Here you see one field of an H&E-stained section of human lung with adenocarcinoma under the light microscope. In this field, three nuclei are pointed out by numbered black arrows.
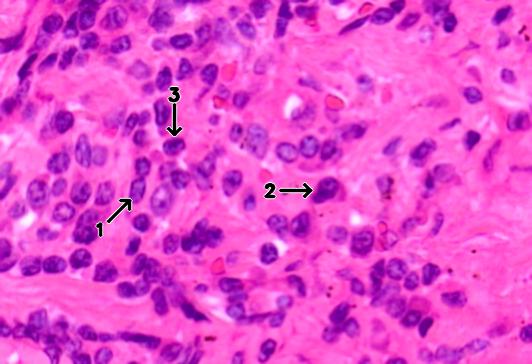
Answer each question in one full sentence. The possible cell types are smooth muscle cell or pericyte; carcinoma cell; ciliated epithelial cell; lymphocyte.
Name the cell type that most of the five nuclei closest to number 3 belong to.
Lymphocytes account for more than half of the five nuclei nearest to number 3.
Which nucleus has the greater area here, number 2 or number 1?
Nucleus 2 is larger, with an area about 1.5 times that of nucleus 1.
